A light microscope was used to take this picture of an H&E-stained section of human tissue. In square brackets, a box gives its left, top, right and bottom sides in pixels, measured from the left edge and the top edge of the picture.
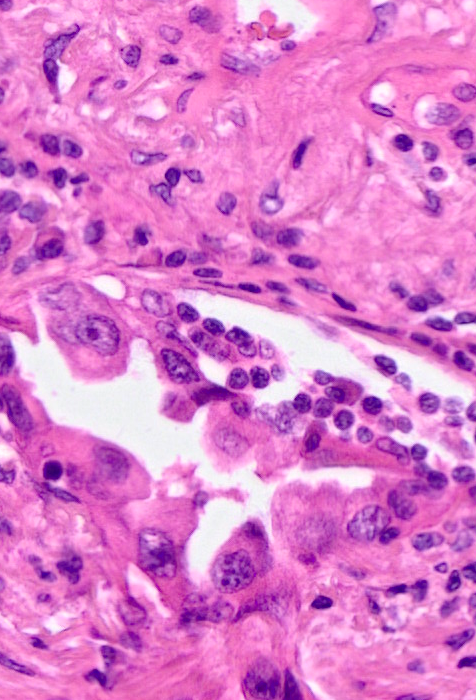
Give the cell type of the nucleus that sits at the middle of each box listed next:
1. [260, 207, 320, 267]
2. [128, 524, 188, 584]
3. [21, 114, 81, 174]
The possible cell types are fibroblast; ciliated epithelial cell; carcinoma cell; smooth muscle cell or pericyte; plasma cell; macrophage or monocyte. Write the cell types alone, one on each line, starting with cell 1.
plasma cell
carcinoma cell
plasma cell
